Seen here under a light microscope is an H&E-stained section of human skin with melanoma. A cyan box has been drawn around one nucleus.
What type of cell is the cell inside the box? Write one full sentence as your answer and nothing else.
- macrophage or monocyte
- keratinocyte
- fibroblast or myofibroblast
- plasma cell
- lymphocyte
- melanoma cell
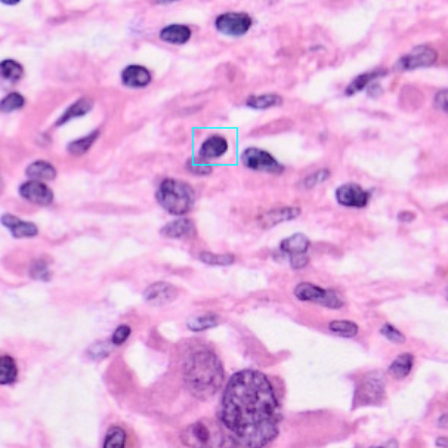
Just put down that the cell inside the box is a lymphocyte.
